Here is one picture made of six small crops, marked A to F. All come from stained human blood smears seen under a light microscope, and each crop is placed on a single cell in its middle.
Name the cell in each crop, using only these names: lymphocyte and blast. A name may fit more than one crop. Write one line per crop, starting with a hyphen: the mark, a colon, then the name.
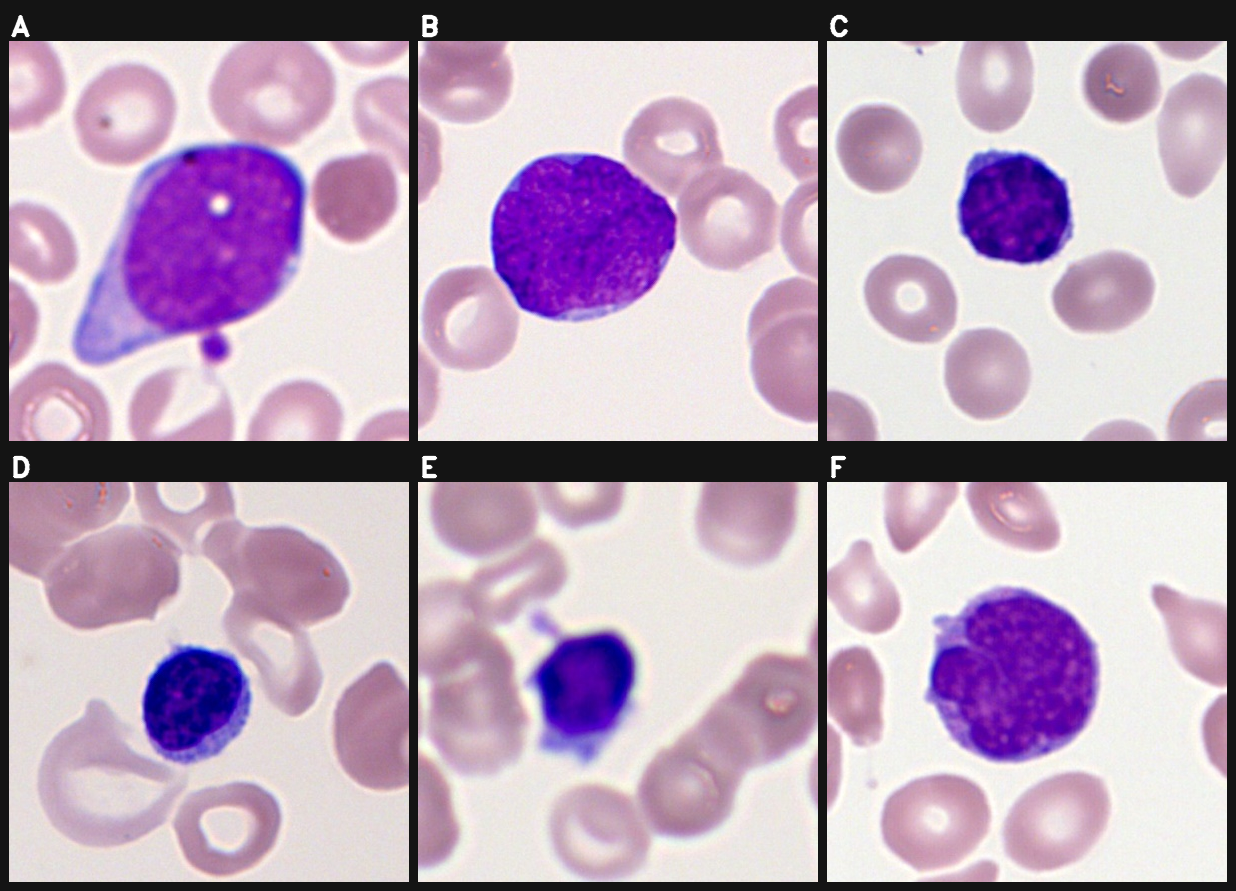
- A: blast
- B: blast
- C: lymphocyte
- D: lymphocyte
- E: lymphocyte
- F: blast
